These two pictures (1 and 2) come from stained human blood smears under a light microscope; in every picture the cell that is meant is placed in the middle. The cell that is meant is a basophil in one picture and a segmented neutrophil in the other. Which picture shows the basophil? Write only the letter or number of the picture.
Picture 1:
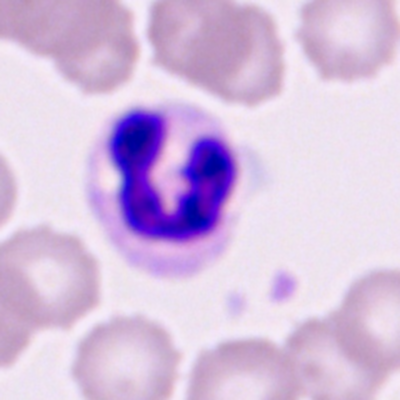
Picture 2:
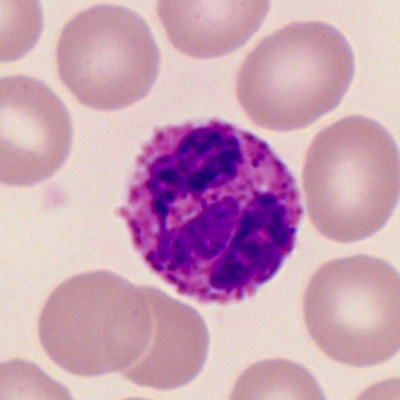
2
